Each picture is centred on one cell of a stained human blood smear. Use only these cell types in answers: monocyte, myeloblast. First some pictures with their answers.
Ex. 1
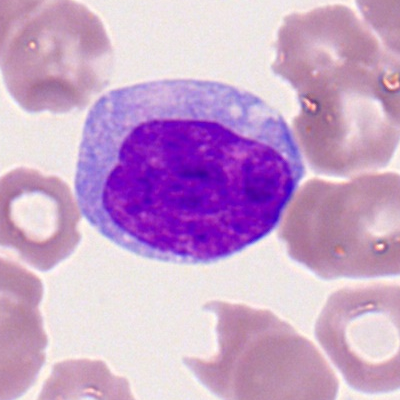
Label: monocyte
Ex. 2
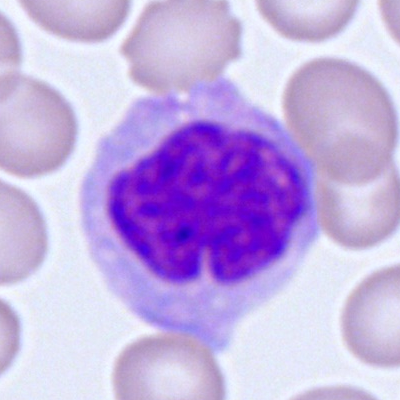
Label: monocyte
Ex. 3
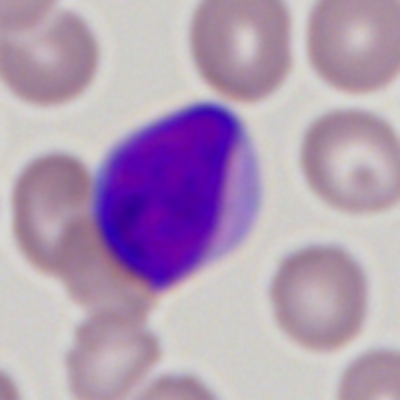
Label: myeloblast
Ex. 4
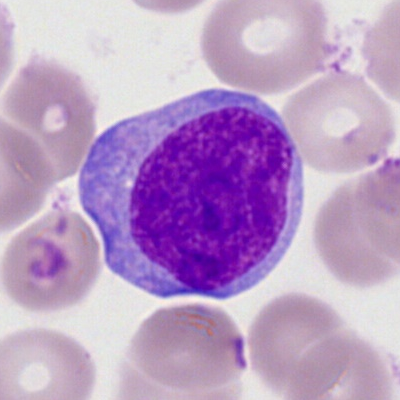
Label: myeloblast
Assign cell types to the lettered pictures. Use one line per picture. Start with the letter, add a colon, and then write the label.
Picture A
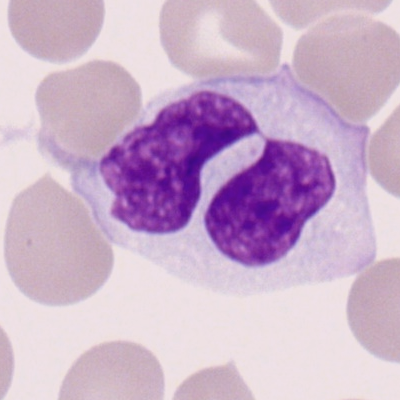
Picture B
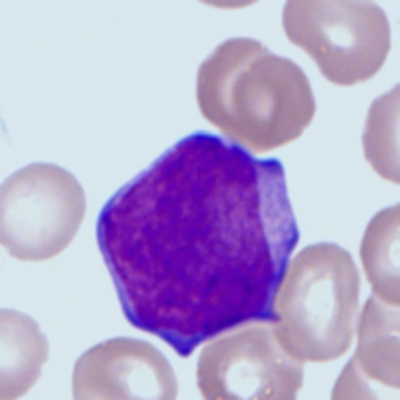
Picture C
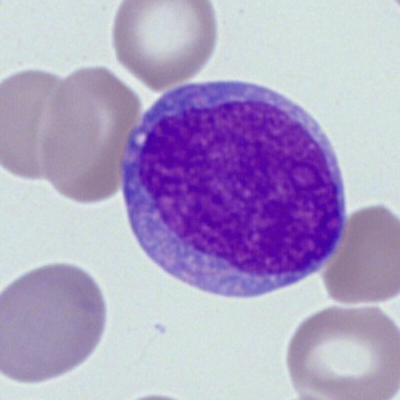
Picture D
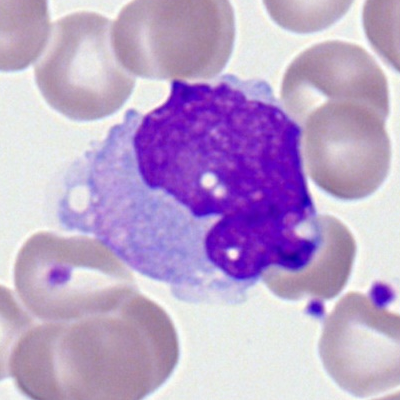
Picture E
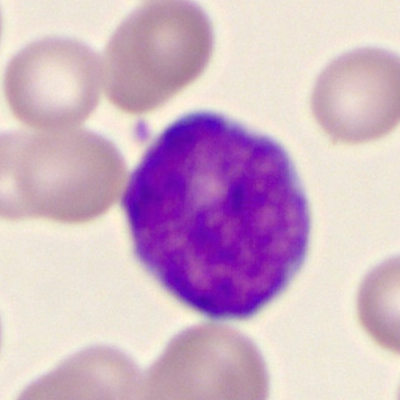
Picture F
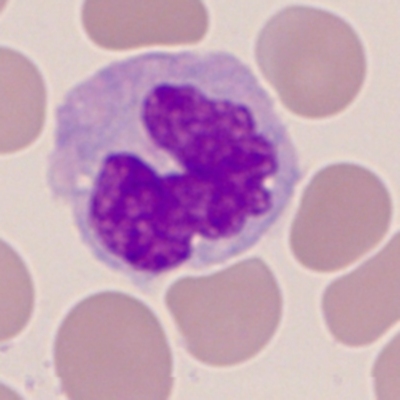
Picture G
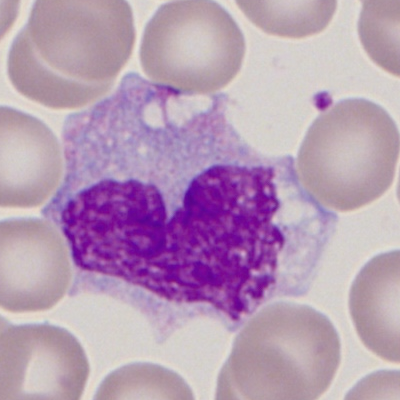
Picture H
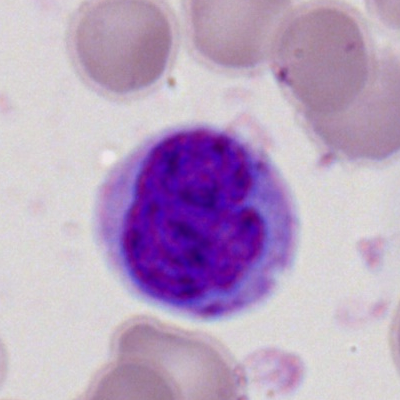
A: monocyte
B: myeloblast
C: myeloblast
D: monocyte
E: myeloblast
F: monocyte
G: monocyte
H: monocyte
